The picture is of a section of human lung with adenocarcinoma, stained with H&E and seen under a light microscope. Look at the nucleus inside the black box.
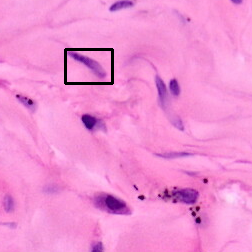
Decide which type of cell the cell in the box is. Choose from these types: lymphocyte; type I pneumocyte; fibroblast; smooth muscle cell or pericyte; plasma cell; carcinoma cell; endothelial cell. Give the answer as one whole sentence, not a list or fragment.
Speaking plainly, the cell in the box is nothing other than a fibroblast.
